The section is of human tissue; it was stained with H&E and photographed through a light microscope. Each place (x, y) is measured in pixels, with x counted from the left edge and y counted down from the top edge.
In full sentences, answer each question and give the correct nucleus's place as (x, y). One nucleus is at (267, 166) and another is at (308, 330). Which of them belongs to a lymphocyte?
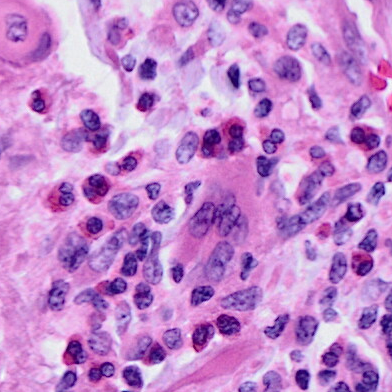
The nucleus contained in a lymphocyte is the one at (267, 166).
